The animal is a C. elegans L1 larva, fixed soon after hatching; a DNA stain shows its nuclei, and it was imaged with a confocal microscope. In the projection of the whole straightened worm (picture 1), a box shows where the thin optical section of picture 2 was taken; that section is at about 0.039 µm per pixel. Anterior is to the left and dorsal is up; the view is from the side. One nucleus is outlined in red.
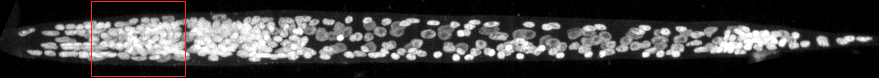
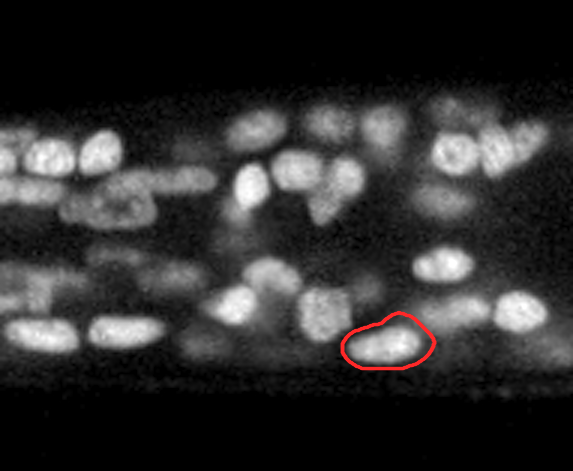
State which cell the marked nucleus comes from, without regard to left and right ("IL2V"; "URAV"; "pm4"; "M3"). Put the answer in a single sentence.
The marked nucleus is that of IL2V, a neuron.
